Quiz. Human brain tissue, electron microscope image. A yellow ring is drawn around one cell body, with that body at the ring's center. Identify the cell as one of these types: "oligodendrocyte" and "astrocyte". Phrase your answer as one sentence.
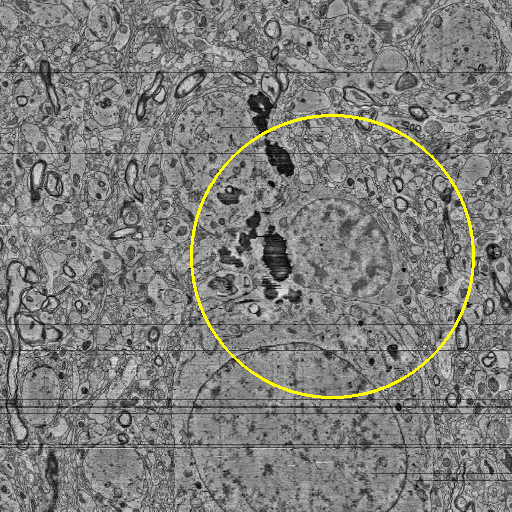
At the center of the ring sits an oligodendrocyte.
